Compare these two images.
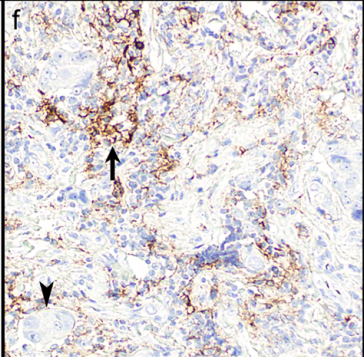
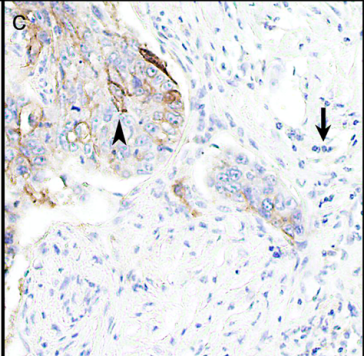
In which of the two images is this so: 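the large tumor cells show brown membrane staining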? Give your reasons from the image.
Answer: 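The second image. First image: large pale tumor cells are blue only, while small cells around them are brown. Second image: cells within the tumor nests have brown membranes, while small stromal cells are blue only.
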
